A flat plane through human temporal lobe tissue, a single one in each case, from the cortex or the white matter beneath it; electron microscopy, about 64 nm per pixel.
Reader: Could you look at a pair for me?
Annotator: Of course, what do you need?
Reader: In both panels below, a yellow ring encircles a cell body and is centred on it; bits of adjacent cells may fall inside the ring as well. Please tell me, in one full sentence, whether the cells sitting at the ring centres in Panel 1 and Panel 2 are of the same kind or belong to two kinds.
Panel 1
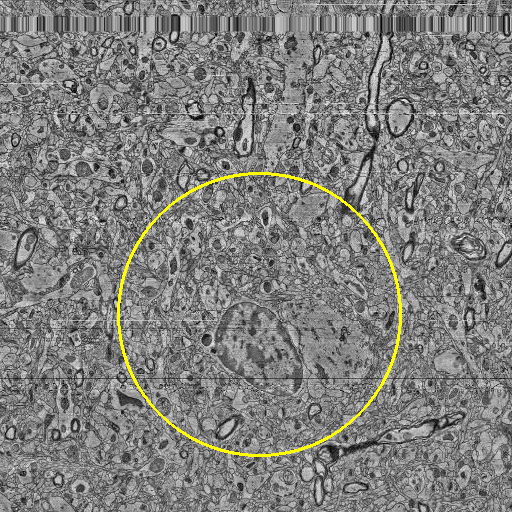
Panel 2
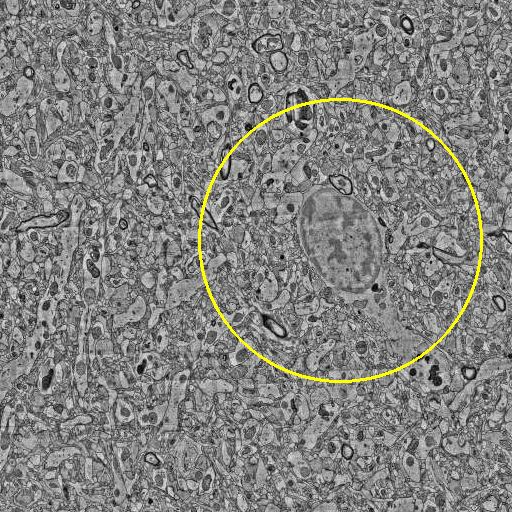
The cell at the ring's centre in Panel 1 and the one in Panel 2 belong to two kinds.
